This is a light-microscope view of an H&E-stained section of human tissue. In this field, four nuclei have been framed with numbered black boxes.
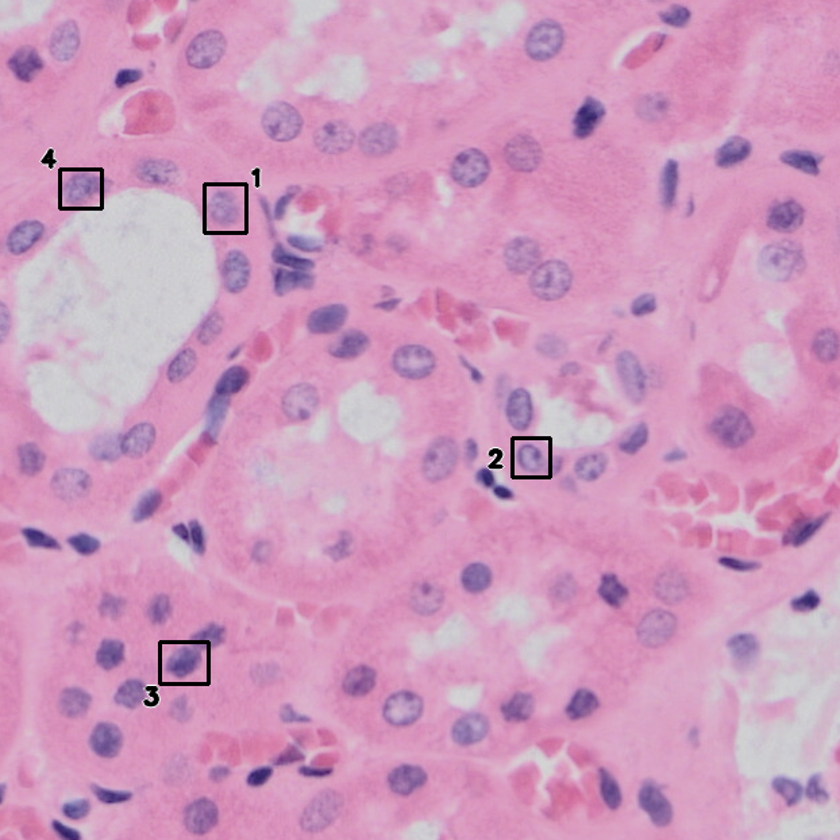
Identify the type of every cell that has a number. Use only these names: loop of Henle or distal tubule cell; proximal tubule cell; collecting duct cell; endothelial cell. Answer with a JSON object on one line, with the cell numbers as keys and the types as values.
{"1": "loop of Henle or distal tubule cell", "2": "collecting duct cell", "3": "loop of Henle or distal tubule cell", "4": "loop of Henle or distal tubule cell"}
